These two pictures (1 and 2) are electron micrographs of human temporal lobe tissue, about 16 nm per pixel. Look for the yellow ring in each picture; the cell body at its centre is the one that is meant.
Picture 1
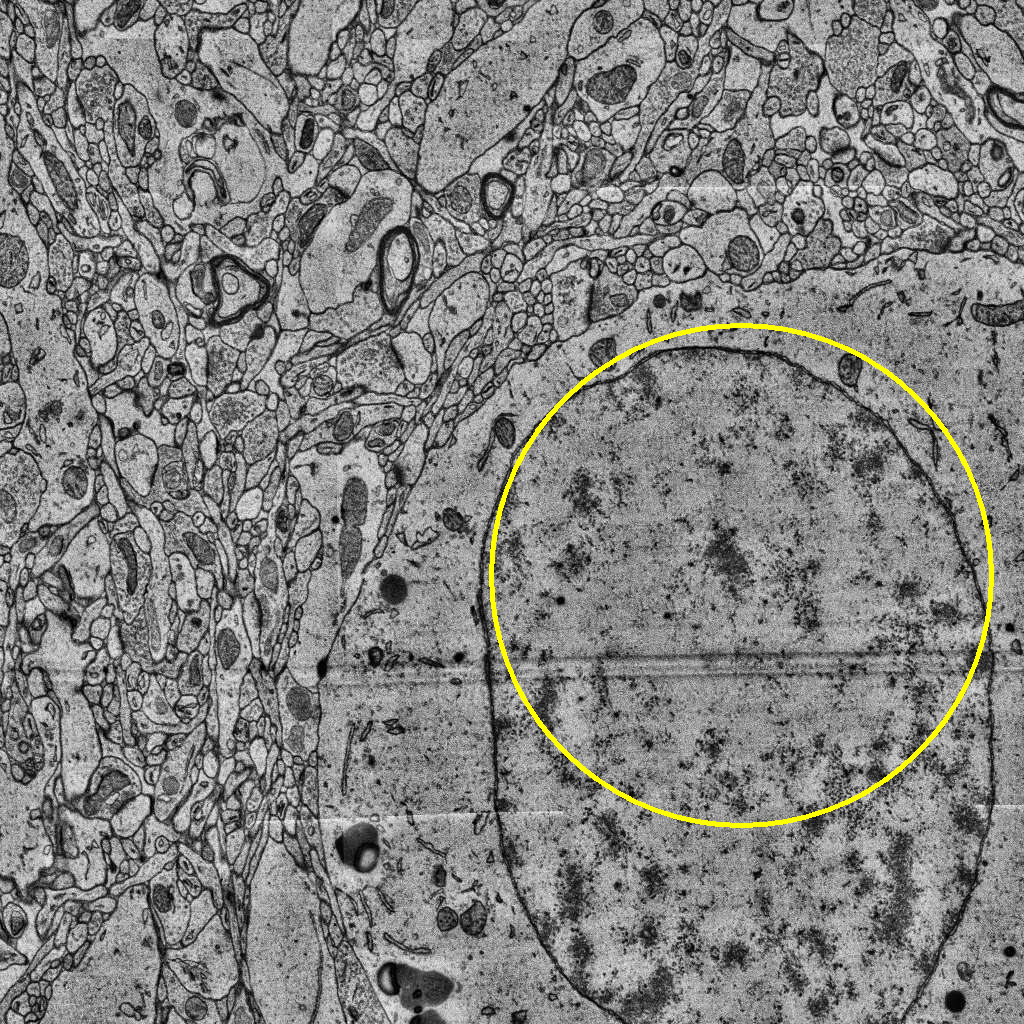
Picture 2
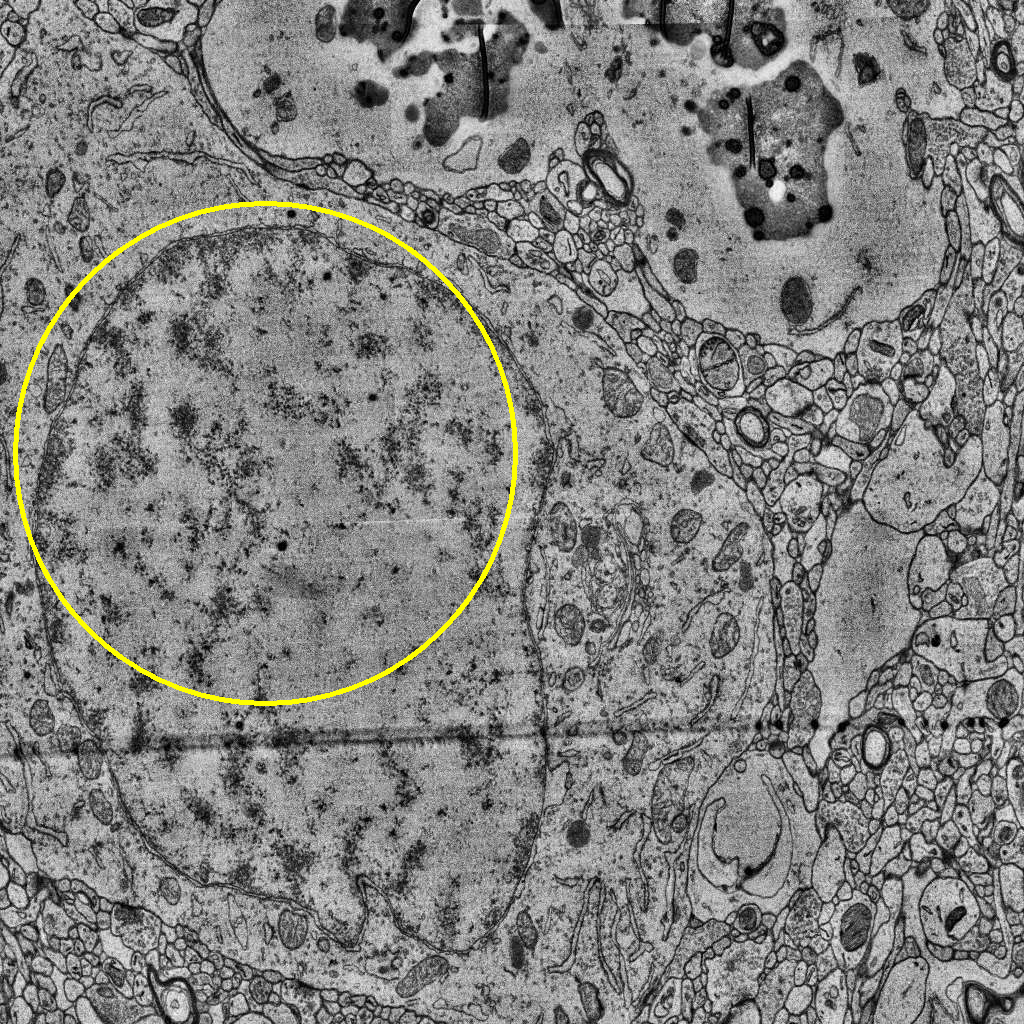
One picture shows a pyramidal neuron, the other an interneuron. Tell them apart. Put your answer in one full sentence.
Picture 1 shows a pyramidal neuron and picture 2 shows an interneuron.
